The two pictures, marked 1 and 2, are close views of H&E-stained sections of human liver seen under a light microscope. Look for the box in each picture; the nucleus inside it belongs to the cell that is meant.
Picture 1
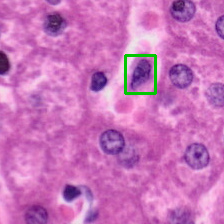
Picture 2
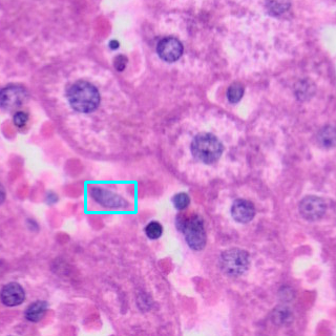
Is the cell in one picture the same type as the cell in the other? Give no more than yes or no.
yes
